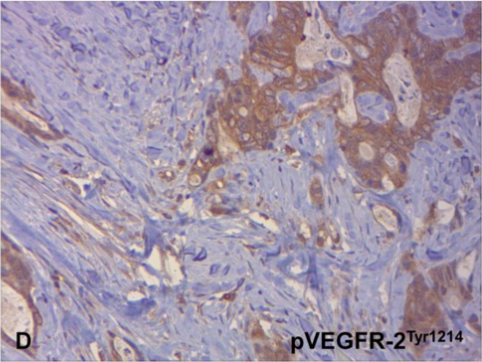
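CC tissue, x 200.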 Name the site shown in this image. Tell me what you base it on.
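Small clusters and single brown-stained epithelial cells lie scattered in blue fibrous stroma. A larger brown-stained tumor cell mass lies at the upper right. So: tumor budding regions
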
